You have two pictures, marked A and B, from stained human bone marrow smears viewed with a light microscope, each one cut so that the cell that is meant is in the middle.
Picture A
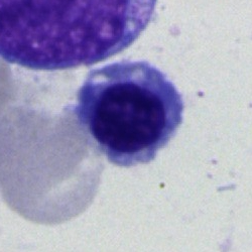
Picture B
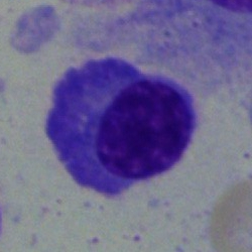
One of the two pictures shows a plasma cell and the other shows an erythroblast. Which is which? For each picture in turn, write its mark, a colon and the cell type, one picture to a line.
A: erythroblast
B: plasma cell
